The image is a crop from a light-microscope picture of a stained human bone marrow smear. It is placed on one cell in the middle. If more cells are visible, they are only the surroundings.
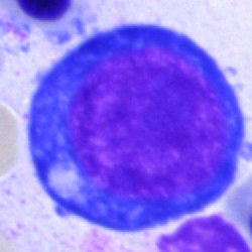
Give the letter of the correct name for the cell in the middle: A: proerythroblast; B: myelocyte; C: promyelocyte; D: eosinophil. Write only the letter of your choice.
A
